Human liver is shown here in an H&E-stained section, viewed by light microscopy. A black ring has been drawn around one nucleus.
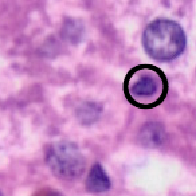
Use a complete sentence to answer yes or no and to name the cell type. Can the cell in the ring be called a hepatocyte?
No, not quite: the cell in the ring is a fibroblast or stellate cell rather than a hepatocyte.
